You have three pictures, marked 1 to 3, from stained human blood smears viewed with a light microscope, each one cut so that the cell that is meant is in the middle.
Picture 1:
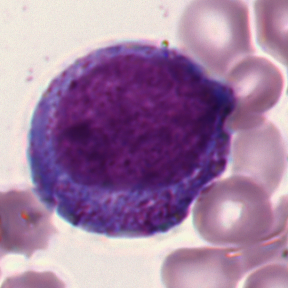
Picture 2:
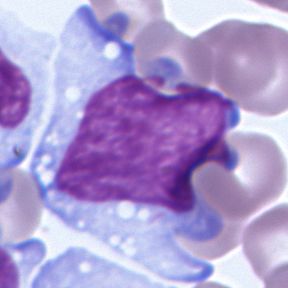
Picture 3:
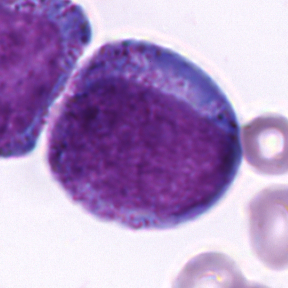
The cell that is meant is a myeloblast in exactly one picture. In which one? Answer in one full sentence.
Picture 2 is the one that shows the myeloblast.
